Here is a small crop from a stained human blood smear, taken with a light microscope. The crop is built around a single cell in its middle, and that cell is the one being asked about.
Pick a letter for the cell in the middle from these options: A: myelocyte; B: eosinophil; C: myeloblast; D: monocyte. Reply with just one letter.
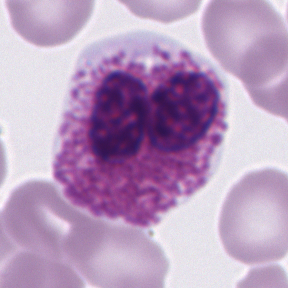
B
